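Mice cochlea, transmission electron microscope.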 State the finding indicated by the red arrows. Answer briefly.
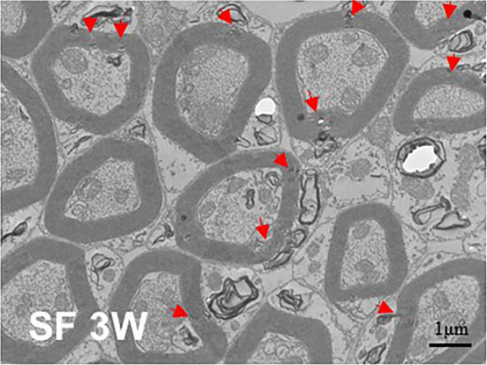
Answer: Demyelinated area.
